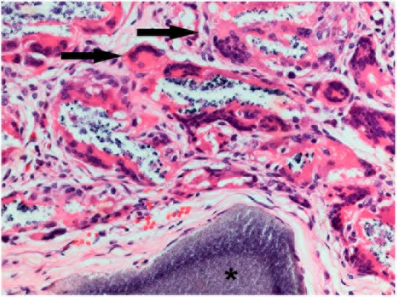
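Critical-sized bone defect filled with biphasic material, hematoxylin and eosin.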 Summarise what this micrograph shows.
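A large purple granular particle lies at the bottom, edged by pink fibrous tissue. The surrounding connective tissue is pink, densely cellular with spindle-shaped nuclei, and contains scattered red blood cells in small vessels.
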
